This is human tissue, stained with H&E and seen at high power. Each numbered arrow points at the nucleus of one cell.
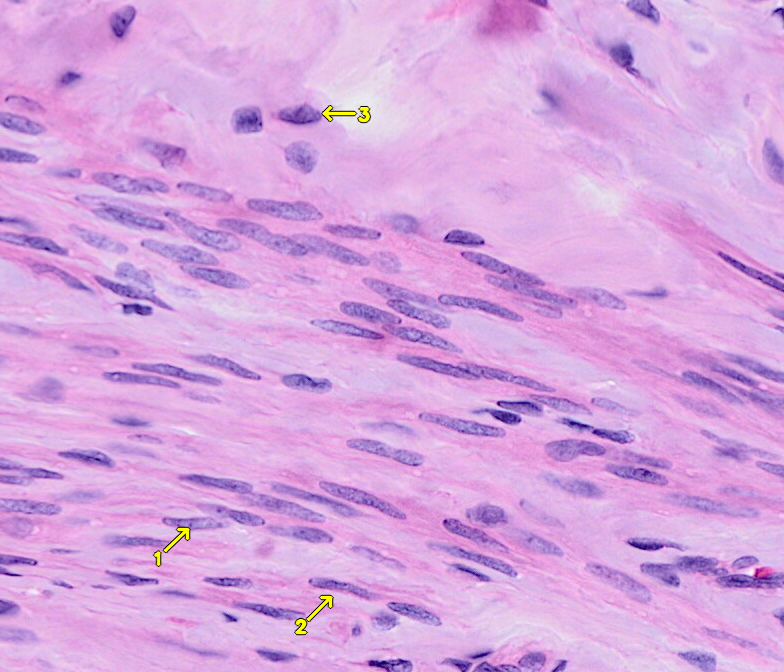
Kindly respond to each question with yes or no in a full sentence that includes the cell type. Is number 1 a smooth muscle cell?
Yes, the cell bearing the number 1 is a smooth muscle cell.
